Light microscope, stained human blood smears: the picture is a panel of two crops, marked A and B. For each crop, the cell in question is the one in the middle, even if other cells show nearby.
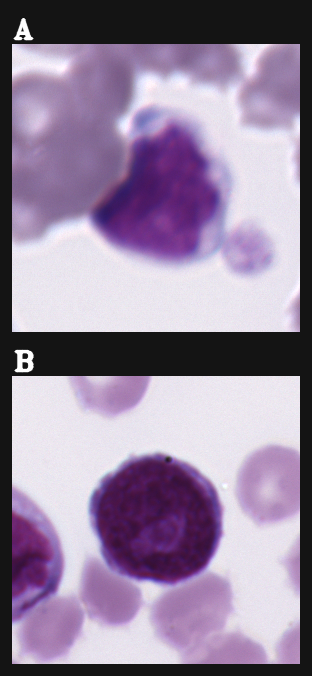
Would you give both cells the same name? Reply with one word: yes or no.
yes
